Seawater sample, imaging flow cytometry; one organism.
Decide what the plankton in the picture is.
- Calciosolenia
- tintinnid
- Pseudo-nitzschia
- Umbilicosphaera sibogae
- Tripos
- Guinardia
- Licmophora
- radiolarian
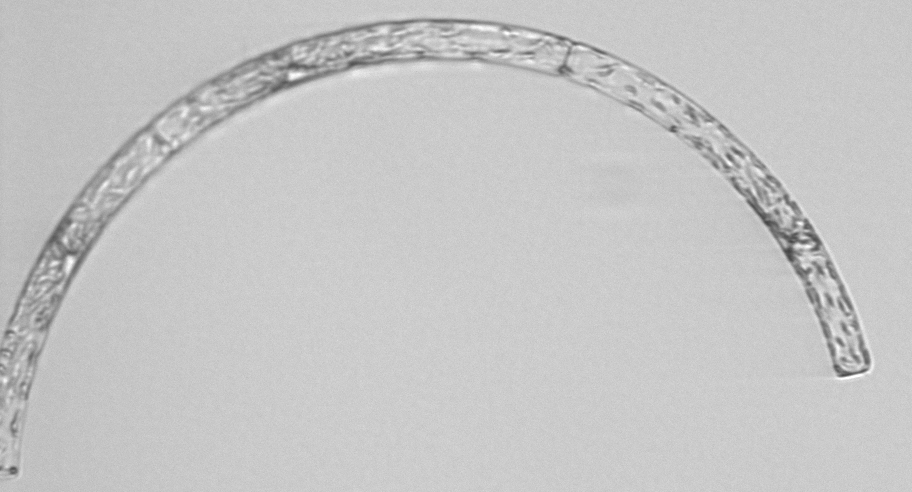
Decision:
Guinardia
